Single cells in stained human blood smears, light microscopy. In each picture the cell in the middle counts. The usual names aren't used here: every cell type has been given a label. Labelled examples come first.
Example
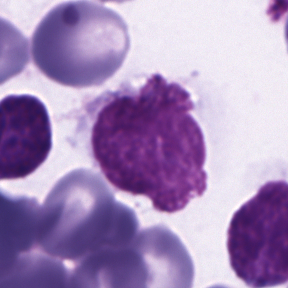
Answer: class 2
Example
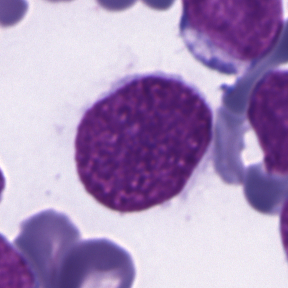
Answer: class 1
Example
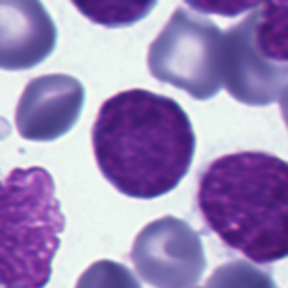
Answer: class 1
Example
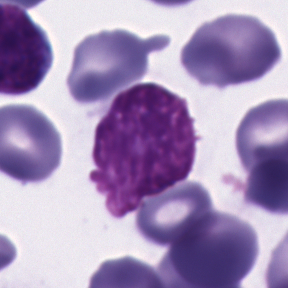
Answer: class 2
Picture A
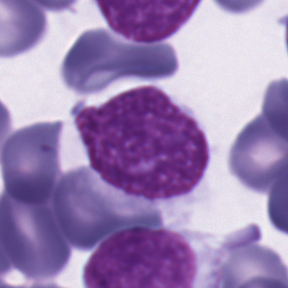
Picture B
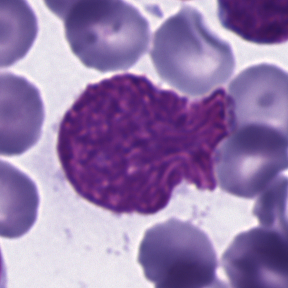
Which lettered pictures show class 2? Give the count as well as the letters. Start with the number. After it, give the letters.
1: B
